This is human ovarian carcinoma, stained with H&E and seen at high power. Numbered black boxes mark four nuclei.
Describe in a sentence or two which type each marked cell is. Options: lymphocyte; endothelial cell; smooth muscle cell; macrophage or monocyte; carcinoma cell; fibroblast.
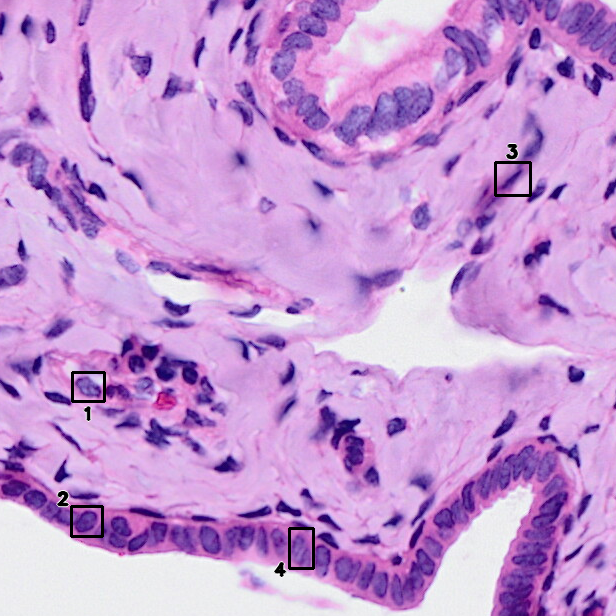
Cells 1 and 3 are endothelial cells. Cells 2 and 4 are carcinoma cells.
